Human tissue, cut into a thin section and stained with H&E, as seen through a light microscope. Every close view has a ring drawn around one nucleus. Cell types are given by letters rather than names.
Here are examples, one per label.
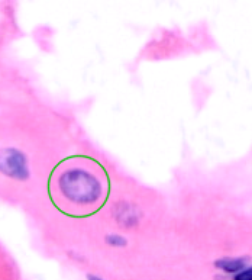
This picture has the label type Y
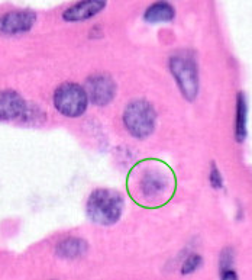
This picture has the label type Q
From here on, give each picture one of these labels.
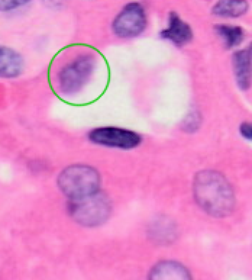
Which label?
type Q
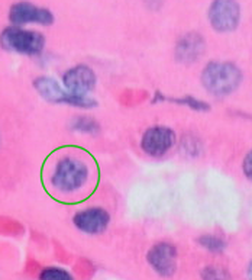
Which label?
type Q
